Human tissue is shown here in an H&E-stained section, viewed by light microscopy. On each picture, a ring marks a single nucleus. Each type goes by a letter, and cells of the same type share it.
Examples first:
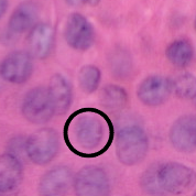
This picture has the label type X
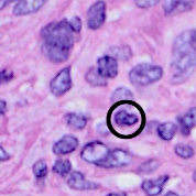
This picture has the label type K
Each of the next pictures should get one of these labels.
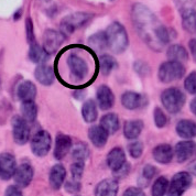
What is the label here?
type K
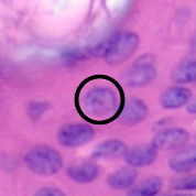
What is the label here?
type X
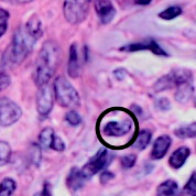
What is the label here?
type K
